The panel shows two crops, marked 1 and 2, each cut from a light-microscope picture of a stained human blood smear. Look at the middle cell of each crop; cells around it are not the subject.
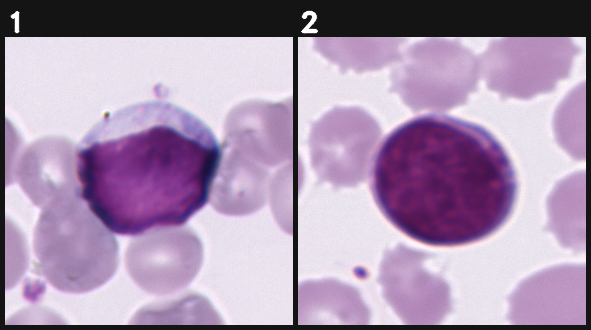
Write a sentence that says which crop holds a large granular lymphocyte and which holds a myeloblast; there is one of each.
It is a large granular lymphocyte that crop 1 shows, and a myeloblast that crop 2 shows.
